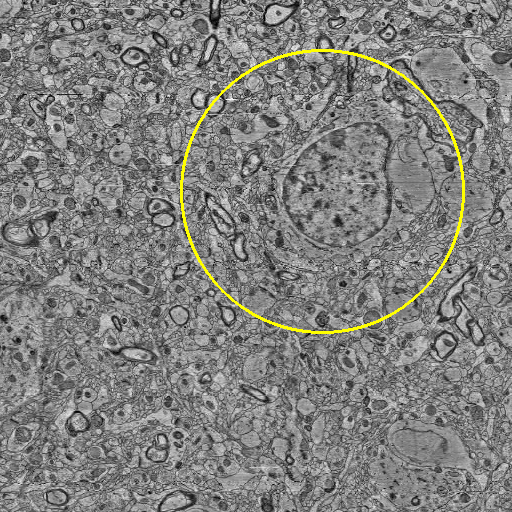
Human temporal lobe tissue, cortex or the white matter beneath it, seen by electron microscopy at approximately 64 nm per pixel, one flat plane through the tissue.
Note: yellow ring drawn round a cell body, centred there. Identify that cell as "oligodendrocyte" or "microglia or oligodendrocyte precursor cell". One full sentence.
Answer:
The cell in the middle of the ring is a microglial cell or oligodendrocyte precursor cell.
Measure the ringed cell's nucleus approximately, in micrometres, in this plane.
In this plane, roughly 9 by 7 micrometres.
